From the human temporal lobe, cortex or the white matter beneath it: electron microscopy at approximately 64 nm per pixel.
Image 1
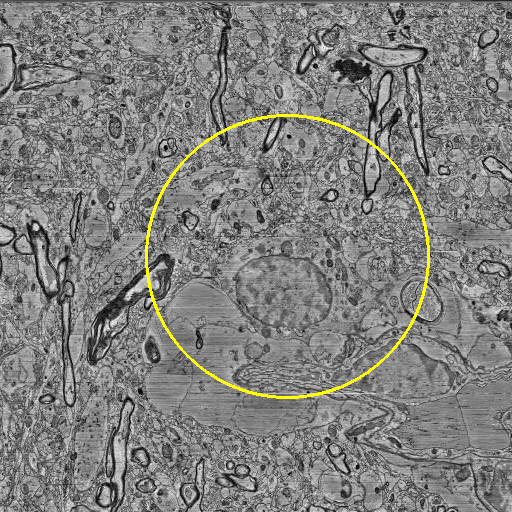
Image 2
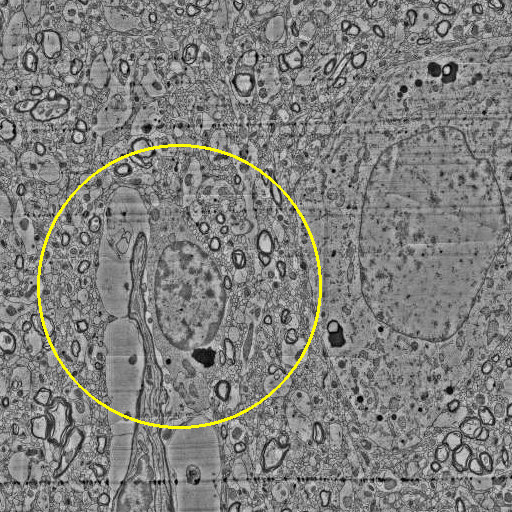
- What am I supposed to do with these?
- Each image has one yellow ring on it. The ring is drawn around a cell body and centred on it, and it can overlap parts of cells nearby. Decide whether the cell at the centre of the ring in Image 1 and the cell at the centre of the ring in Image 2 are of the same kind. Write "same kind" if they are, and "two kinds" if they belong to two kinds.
same kind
